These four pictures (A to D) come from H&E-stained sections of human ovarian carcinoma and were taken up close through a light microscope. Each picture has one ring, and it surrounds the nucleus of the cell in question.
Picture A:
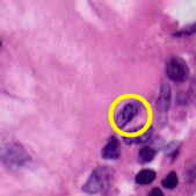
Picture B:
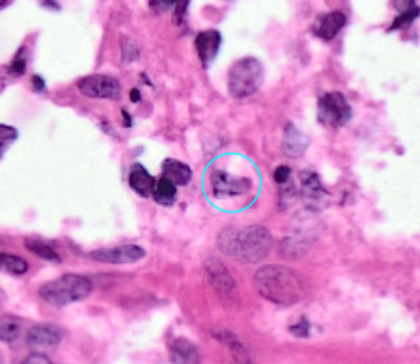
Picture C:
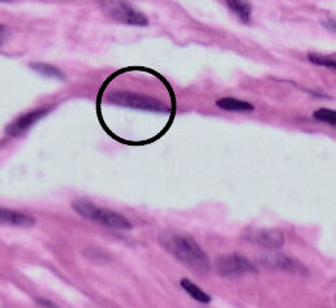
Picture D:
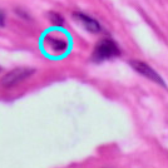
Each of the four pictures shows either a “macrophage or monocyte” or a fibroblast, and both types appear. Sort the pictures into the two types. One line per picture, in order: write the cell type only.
macrophage or monocyte
macrophage or monocyte
fibroblast
fibroblast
